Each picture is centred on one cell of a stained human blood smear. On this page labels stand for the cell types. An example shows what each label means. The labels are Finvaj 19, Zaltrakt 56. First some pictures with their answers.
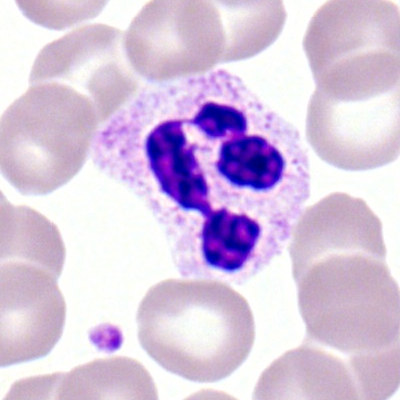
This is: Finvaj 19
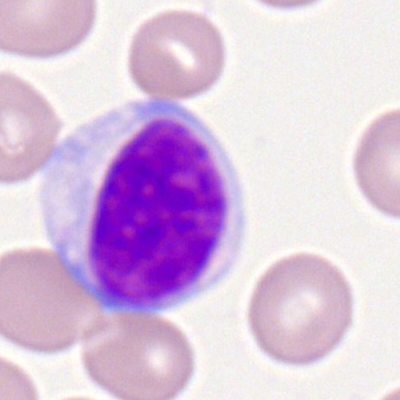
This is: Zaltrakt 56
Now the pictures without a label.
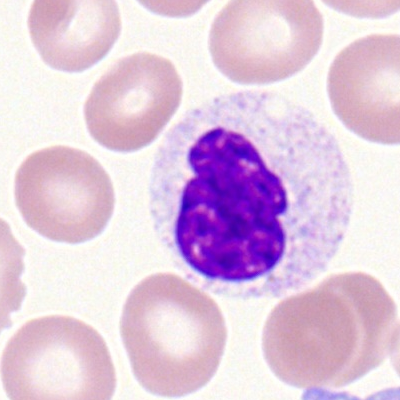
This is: Finvaj 19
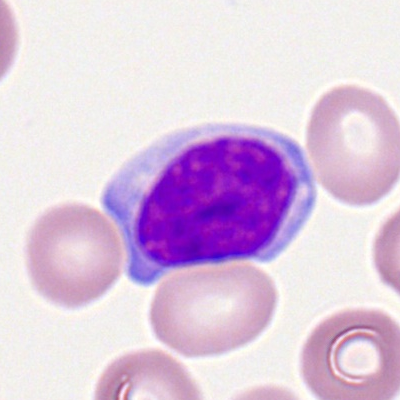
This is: Zaltrakt 56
